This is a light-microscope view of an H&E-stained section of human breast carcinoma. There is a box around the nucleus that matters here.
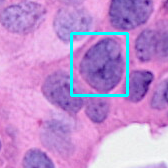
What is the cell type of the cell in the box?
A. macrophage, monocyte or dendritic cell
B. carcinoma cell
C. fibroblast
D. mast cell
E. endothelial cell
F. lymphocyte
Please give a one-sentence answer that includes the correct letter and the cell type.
Option B is correct in stating that the cell in the box is a carcinoma cell.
